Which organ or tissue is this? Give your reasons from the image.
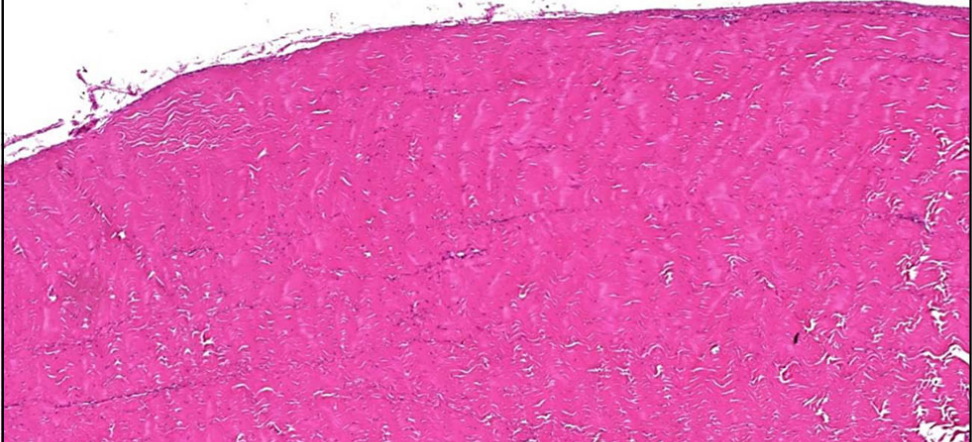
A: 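The tissue is packed tightly with pink fibres and has little empty space. The fibres run parallel in one direction across the panel.
Hence: dense fibrous connective tissue.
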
